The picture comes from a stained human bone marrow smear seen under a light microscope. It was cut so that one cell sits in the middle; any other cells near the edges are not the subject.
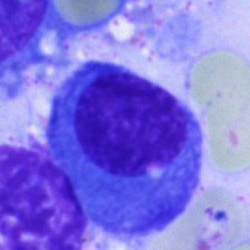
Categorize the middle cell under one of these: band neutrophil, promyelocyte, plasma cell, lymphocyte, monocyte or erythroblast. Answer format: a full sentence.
The cell featured at the centre of this crop is a plasma cell.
